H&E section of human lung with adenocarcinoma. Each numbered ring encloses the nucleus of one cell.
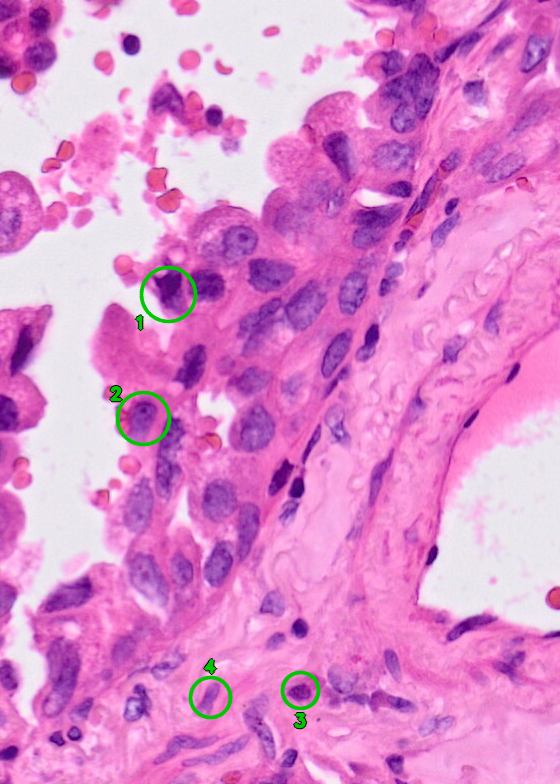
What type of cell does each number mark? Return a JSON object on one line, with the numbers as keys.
{"1": "carcinoma cell", "2": "carcinoma cell", "3": "plasma cell", "4": "smooth muscle cell or pericyte"}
